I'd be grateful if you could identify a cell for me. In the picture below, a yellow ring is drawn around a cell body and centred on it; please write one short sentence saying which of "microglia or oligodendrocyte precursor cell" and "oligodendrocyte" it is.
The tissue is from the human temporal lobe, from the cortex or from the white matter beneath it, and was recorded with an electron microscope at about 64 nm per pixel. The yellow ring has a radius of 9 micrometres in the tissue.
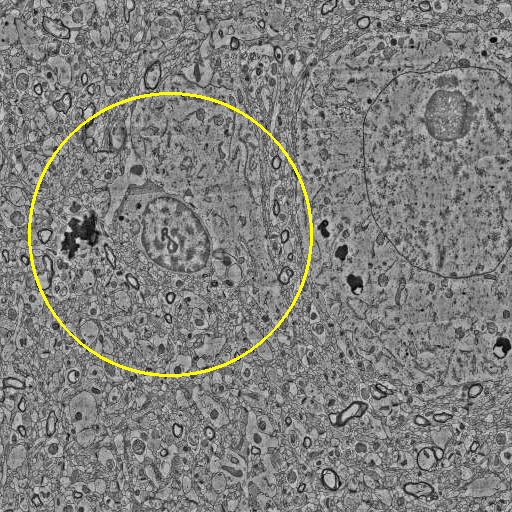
The cell under the ring's centre is an oligodendrocyte.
